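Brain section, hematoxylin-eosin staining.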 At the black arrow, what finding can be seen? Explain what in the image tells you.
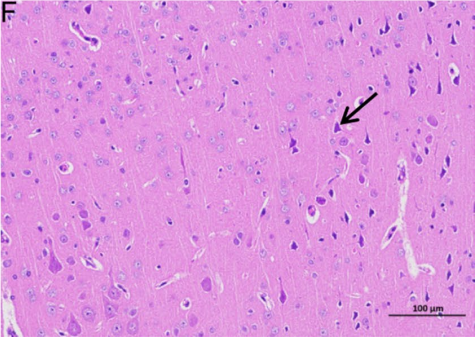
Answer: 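The arrowed cell is small and dark purple. It lacks the pale round nucleus with a nucleolus seen in most neighbouring cells. The answer: pyknotic and deeply stained.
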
